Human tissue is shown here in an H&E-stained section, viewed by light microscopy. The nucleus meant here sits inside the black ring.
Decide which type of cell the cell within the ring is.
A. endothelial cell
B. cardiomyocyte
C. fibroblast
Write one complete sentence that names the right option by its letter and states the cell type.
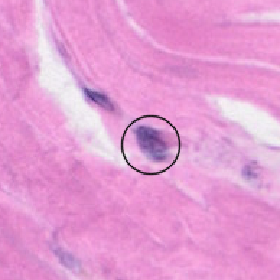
The right pick is option C; the cell within the ring is a fibroblast.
